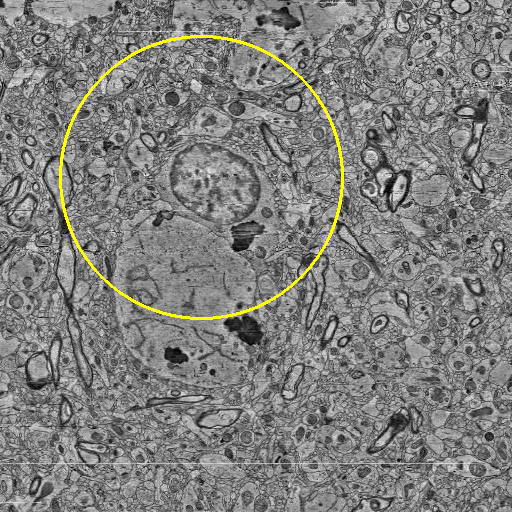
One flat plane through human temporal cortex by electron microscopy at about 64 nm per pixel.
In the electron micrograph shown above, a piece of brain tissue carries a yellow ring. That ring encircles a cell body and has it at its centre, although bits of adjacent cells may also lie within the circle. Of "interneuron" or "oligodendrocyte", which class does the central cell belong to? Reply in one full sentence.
The cell body at the centre of the yellow ring belongs to an oligodendrocyte.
